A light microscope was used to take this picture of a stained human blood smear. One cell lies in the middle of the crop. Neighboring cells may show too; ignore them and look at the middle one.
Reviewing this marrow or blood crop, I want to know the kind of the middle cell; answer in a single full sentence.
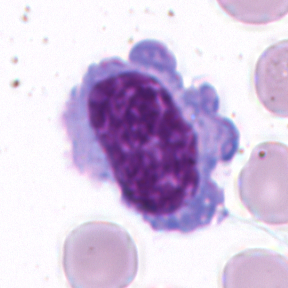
The cell marked by its central position in the crop is a plasma cell.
